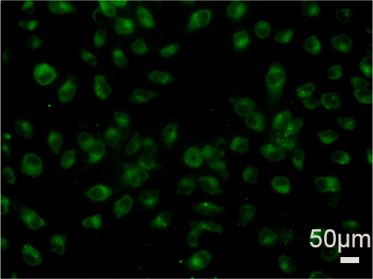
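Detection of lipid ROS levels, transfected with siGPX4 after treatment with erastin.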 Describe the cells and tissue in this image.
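The cells are rounded to polygonal. The green fluorescence fills the cytoplasm around a darker central region where the nucleus sits, and a few cells show small bright green dots.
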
